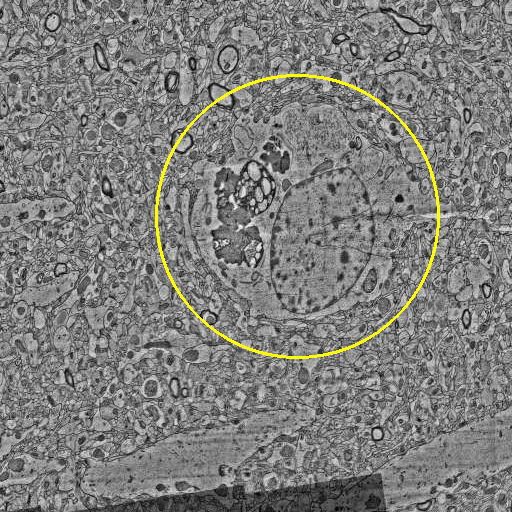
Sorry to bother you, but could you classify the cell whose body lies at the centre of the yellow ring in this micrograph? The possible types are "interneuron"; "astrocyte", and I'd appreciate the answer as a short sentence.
The ringed cell body is that of an astrocyte.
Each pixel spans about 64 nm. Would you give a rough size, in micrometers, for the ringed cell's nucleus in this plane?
Roughly 10 by 7 micrometres; in this plane, clearly longer than it is wide.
